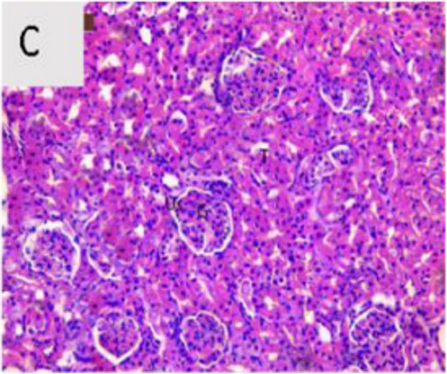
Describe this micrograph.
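This is kidney cortex, with several round glomeruli sitting among closely packed tubules. Each glomerulus is a dense tuft of purple nuclei, separated by a narrow clear urinary space from the thin outer capsule. Around them the tubules are cut in cross and oblique section, lined by cells with pink cytoplasm and round dark nuclei around small open lumens.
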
